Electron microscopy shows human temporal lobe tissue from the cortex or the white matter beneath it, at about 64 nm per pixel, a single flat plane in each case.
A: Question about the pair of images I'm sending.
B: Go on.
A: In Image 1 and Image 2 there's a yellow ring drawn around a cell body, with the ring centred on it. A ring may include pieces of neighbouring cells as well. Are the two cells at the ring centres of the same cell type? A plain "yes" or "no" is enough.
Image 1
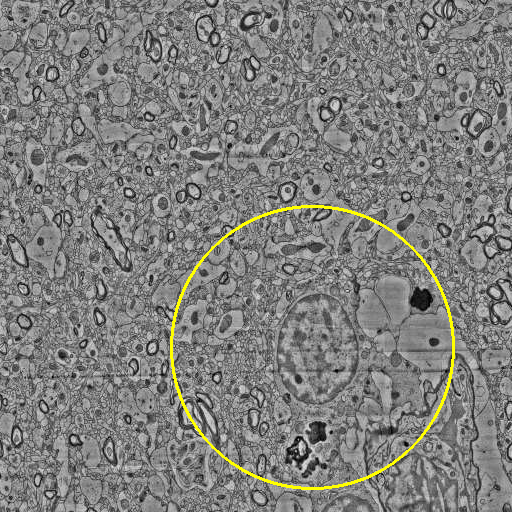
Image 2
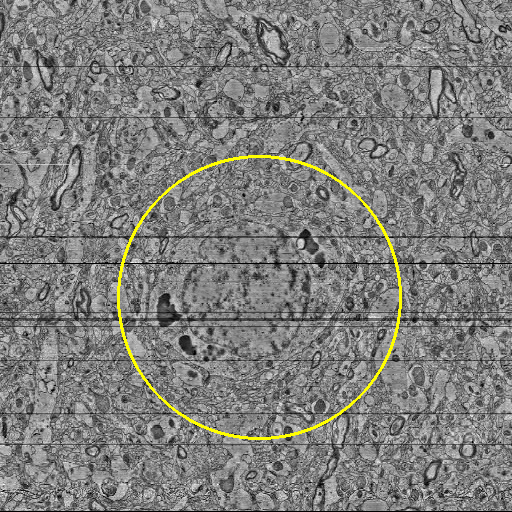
no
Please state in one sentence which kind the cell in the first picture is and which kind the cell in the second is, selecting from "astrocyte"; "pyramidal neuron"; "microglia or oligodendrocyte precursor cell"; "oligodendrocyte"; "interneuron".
The first ringed cell is an oligodendrocyte, the second ringed cell an interneuron.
